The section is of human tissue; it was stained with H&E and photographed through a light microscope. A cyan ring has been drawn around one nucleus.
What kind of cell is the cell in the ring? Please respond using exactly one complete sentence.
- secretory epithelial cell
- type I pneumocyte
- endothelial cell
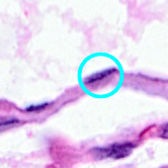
In the tissue at hand, the cell in the ring is an endothelial cell.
